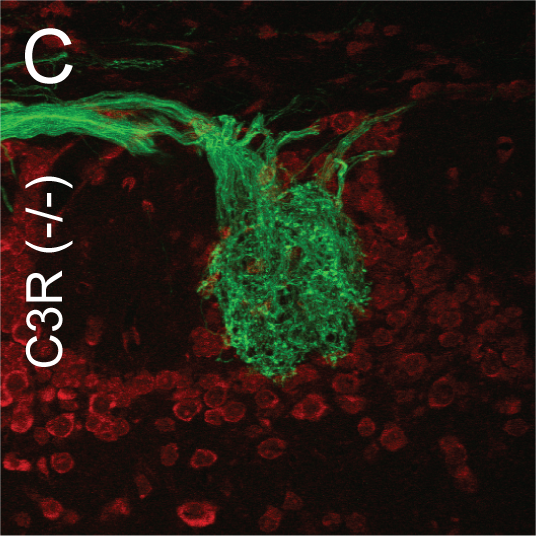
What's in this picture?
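Here a glomerulus is seen as an elongated tangle of fine green axon branches hanging down from a thick green axon bundle that runs across the top of the field. The tangle is looser than a solid mass, so individual fibres can be made out, and it is flanked by rows of red-stained cell bodies.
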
